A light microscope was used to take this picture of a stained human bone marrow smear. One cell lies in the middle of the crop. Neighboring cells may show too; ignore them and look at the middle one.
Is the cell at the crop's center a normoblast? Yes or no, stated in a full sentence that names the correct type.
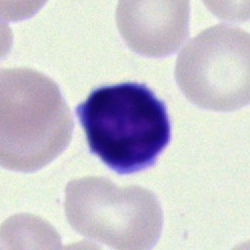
No, the central cell is not a normoblast; it is a lymphocyte instead.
